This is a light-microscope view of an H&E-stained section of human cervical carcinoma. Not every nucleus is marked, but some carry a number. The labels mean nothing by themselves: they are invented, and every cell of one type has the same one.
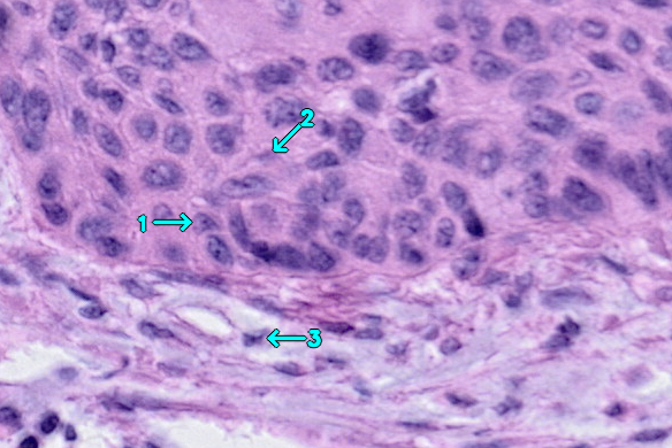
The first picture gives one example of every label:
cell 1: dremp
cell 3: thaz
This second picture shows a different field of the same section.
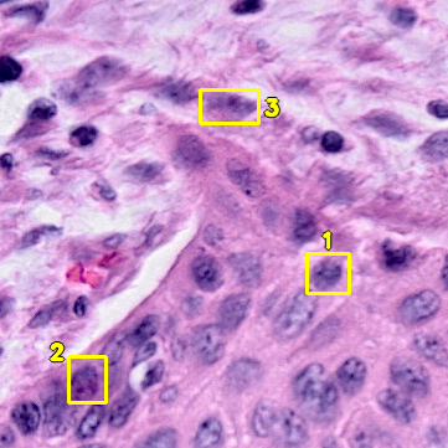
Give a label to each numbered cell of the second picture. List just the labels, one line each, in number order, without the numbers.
dremp
dremp
thaz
